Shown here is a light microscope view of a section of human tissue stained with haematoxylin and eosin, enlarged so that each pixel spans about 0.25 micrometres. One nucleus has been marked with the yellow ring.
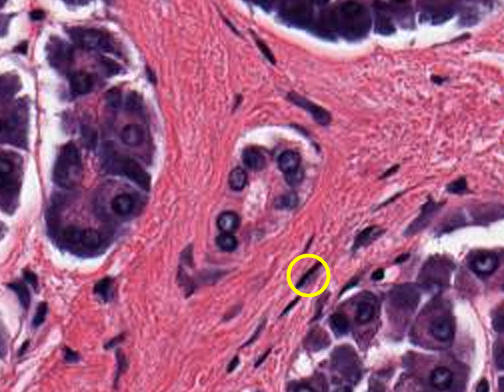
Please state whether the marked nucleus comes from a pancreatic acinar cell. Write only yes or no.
no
